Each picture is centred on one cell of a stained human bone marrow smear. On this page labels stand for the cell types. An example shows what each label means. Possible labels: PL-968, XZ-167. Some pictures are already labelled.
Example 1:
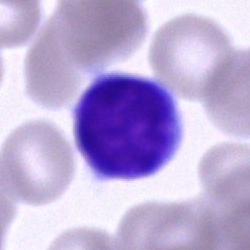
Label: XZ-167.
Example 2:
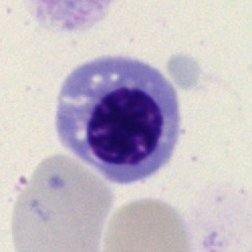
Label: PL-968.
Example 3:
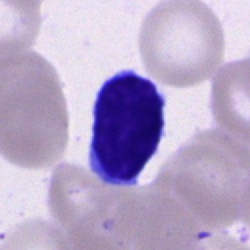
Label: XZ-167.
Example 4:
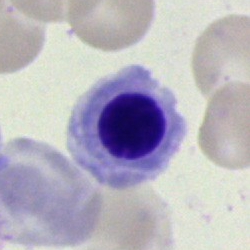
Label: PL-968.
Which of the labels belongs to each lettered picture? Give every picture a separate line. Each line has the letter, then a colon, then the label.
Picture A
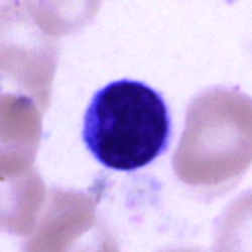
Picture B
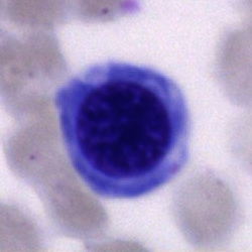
A: XZ-167.
B: PL-968.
